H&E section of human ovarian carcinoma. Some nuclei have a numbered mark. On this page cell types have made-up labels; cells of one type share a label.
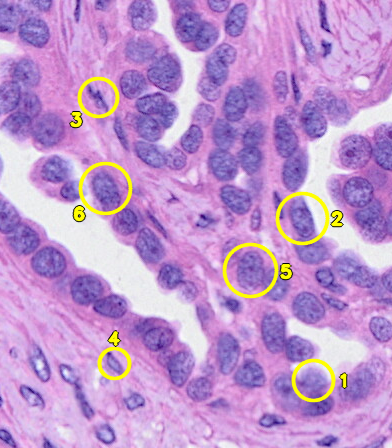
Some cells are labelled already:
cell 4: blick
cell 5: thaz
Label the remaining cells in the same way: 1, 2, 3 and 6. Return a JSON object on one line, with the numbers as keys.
{"1": "thaz", "2": "thaz", "3": "blick", "6": "thaz"}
